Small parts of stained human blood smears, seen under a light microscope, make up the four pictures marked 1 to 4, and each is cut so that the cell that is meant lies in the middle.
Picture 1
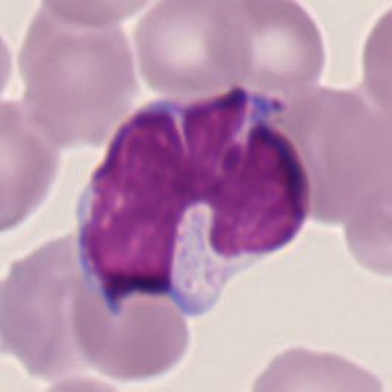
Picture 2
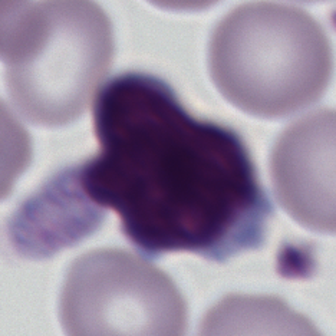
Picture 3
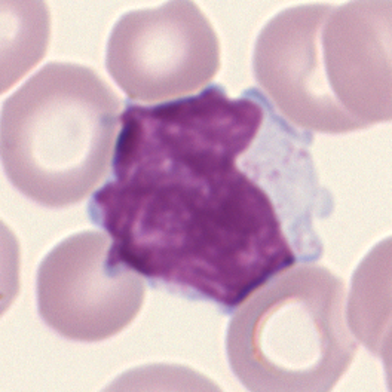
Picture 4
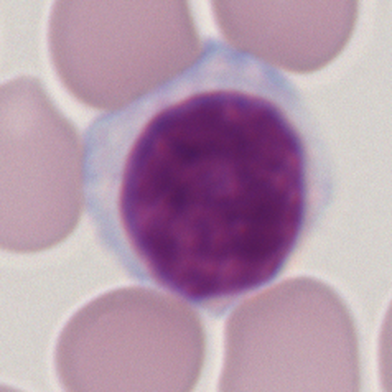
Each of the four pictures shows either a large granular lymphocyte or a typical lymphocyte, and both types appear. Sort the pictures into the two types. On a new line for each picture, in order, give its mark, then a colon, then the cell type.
1: large granular lymphocyte
2: typical lymphocyte
3: large granular lymphocyte
4: typical lymphocyte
